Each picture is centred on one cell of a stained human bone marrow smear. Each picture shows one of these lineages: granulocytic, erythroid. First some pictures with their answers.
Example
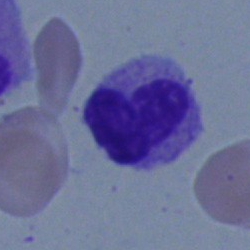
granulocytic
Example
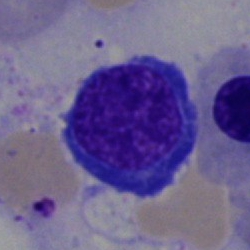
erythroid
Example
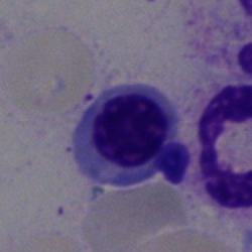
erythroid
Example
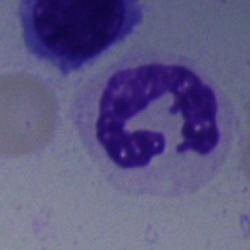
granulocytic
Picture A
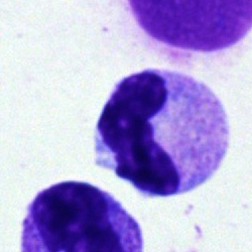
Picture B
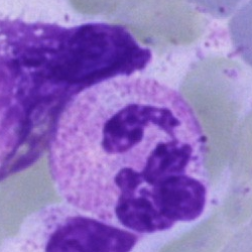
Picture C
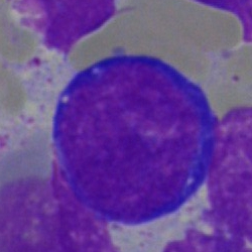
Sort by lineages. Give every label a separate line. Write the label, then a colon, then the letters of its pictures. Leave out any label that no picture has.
granulocytic: A, B
erythroid: C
